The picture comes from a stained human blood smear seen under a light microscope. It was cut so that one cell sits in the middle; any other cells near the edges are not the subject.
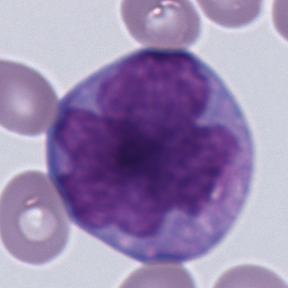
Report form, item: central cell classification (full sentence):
The cell centered in this field of view is an atypical promyelocyte.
